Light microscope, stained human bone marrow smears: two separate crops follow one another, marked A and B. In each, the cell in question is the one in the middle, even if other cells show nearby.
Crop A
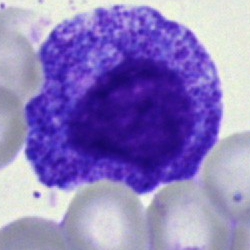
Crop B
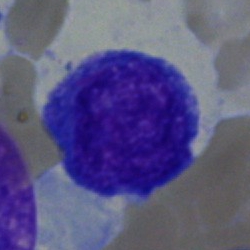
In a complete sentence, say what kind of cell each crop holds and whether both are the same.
No, crop A shows a promyelocyte, and the cell in crop B is a blast.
